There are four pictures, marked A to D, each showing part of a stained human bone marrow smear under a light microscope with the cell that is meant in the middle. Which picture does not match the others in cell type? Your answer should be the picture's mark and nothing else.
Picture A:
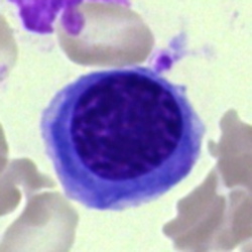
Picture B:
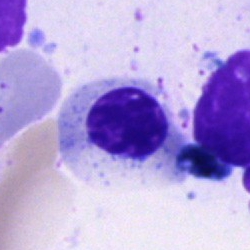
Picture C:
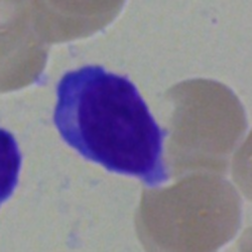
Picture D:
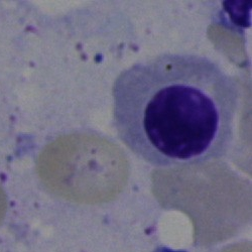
C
